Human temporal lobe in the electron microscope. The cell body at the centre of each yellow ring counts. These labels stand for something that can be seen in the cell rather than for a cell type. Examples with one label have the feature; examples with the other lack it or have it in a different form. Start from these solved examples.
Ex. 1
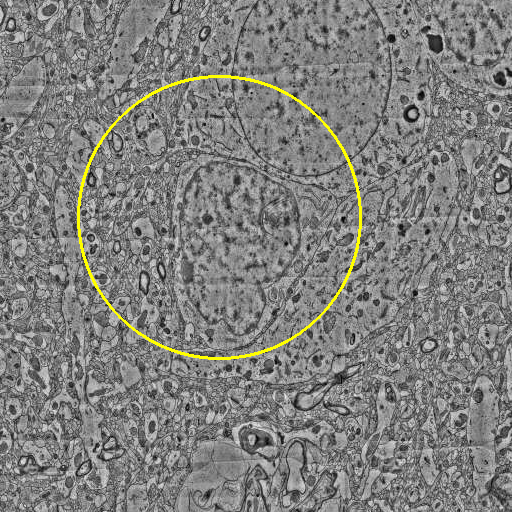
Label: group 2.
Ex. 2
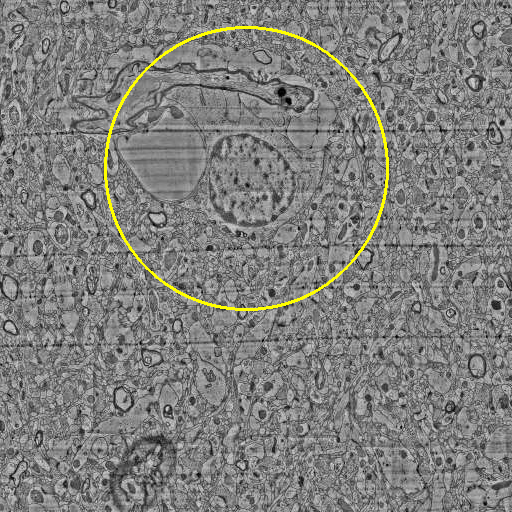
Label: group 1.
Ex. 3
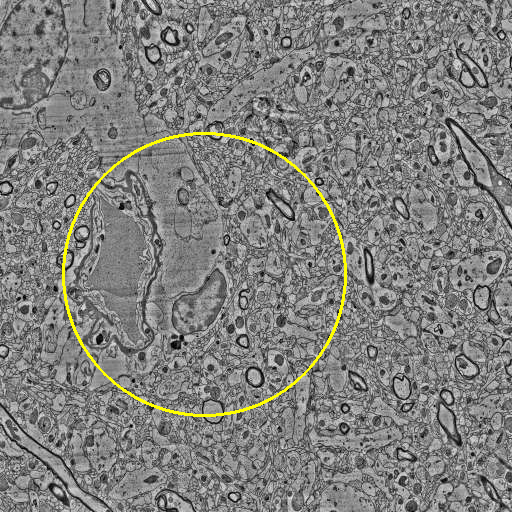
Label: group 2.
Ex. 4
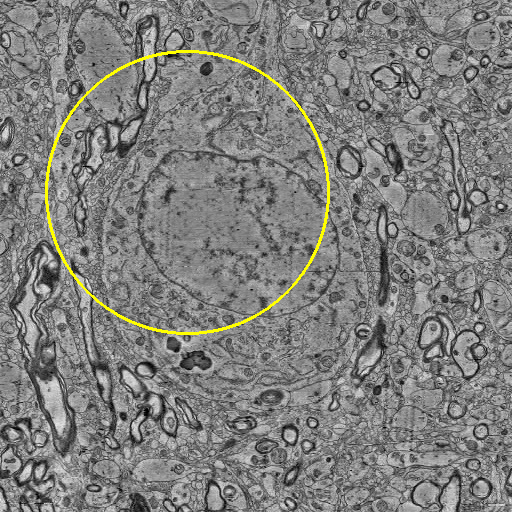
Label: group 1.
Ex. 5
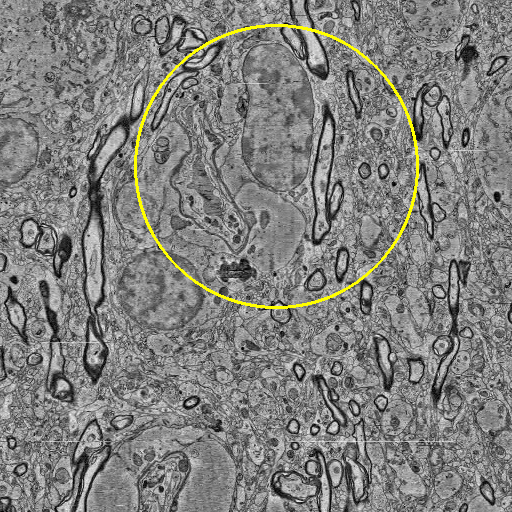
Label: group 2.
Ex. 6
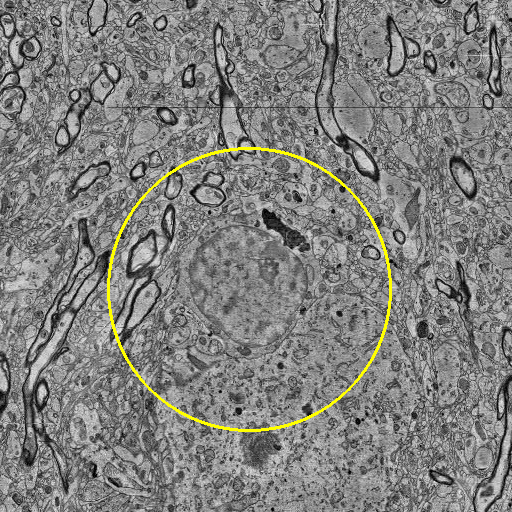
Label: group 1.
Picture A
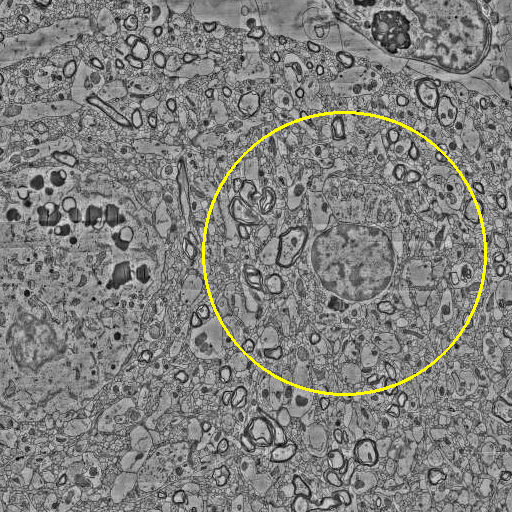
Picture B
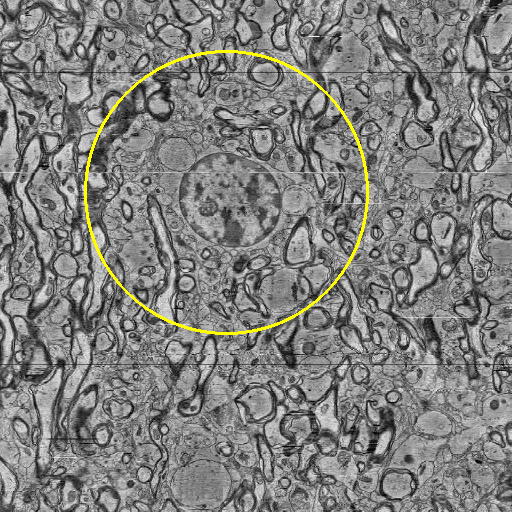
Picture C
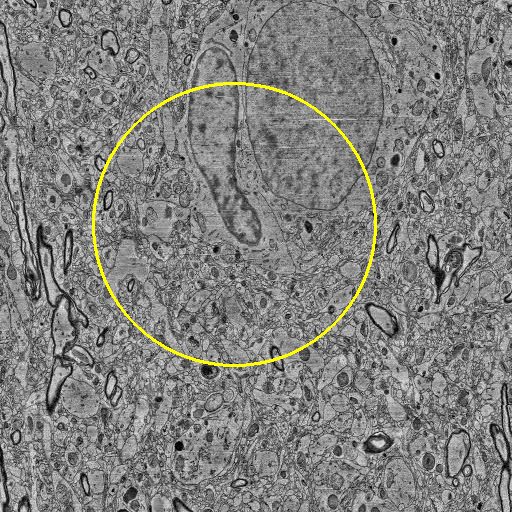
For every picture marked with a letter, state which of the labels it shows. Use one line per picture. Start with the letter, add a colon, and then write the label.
A: group 1.
B: group 1.
C: group 2.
